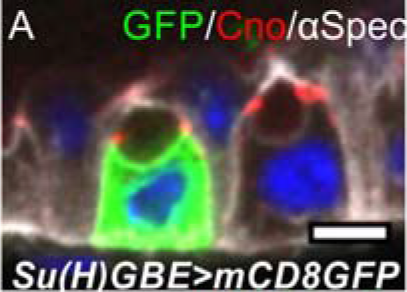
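A row of columnar gut epithelial cells is outlined by grey membranes, each with a blue nucleus. One small cell at the base is filled with green, with a narrow top and broad base. Above it, and above a neighbouring unlabelled cell, large round spaces are outlined by grey membranes, lying between these cells and the cells above. Red dots sit at the upper corners of both small cells. These are integrating enteroblasts with large spherical lumens formed beneath the overlying enterocytes.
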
